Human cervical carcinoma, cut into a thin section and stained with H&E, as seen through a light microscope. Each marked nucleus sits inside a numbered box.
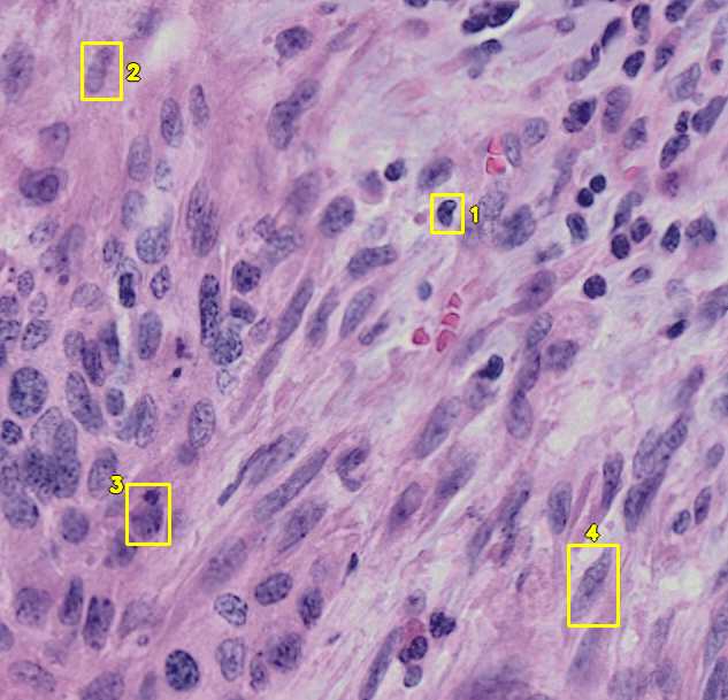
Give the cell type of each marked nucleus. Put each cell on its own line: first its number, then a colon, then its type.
1: lymphocyte
2: fibroblast
3: squamous carcinoma cell
4: fibroblast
